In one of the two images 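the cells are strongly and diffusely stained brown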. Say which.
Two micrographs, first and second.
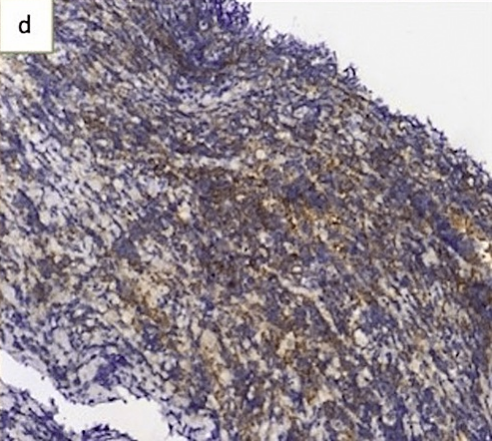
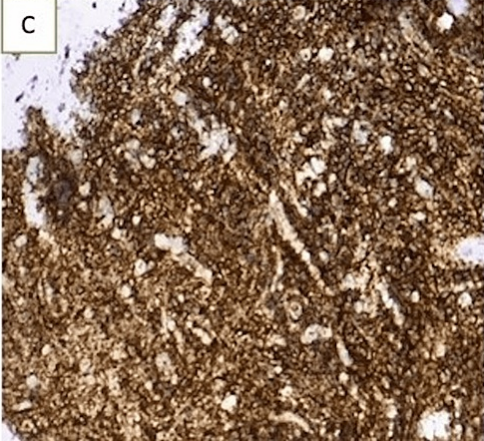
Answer: The second image.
